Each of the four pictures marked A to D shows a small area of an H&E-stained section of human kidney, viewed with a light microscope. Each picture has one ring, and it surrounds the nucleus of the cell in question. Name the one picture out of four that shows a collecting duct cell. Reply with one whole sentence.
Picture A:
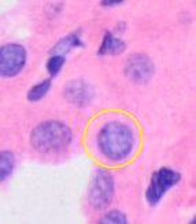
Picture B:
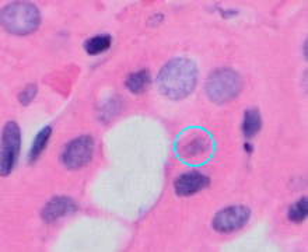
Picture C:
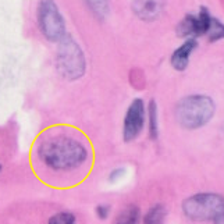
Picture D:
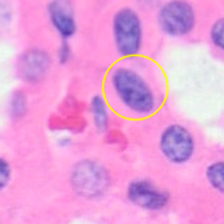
Picture D shows the collecting duct cell.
